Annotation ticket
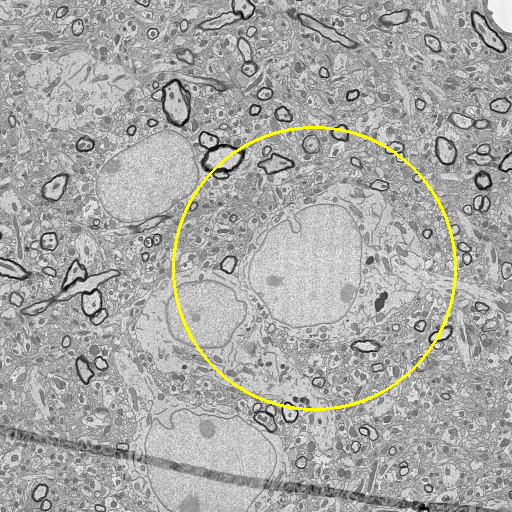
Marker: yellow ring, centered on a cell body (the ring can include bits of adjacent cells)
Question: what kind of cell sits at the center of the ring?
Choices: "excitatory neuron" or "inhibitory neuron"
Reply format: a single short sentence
The ring is centered on an excitatory neuron.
